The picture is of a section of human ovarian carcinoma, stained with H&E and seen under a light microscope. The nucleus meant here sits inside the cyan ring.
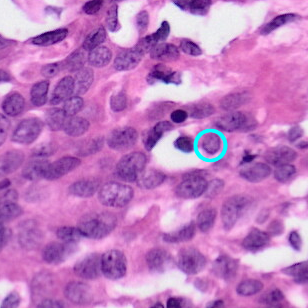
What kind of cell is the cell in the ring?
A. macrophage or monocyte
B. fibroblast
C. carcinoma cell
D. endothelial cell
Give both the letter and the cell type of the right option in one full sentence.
Answer with option A; the cell in the ring is a macrophage or monocyte.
